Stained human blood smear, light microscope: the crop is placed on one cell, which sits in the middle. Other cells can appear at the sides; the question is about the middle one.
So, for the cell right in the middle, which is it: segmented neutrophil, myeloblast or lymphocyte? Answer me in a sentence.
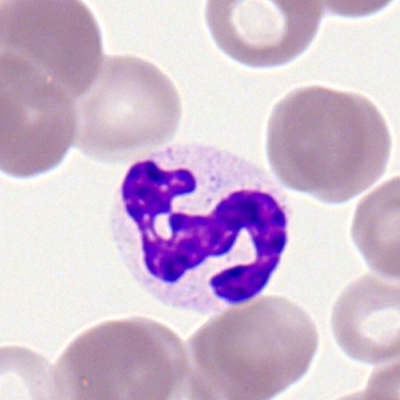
Whatever else lies nearby, the middle cell is a segmented neutrophil.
